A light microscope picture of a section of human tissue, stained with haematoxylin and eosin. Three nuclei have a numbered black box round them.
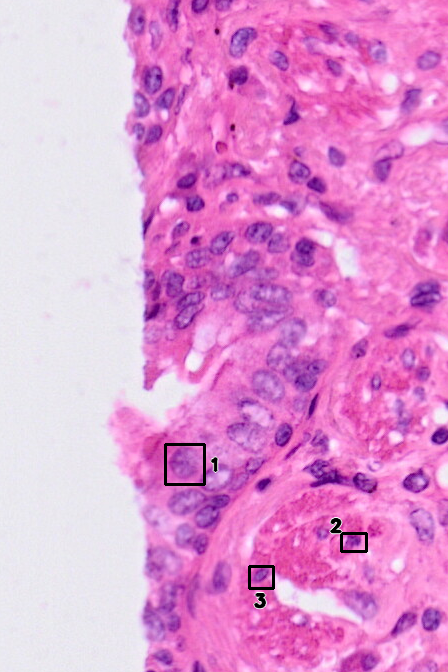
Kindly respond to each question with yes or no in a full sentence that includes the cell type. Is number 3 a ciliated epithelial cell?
No, cell 3 is not a ciliated epithelial cell; it is a smooth muscle cell or pericyte.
